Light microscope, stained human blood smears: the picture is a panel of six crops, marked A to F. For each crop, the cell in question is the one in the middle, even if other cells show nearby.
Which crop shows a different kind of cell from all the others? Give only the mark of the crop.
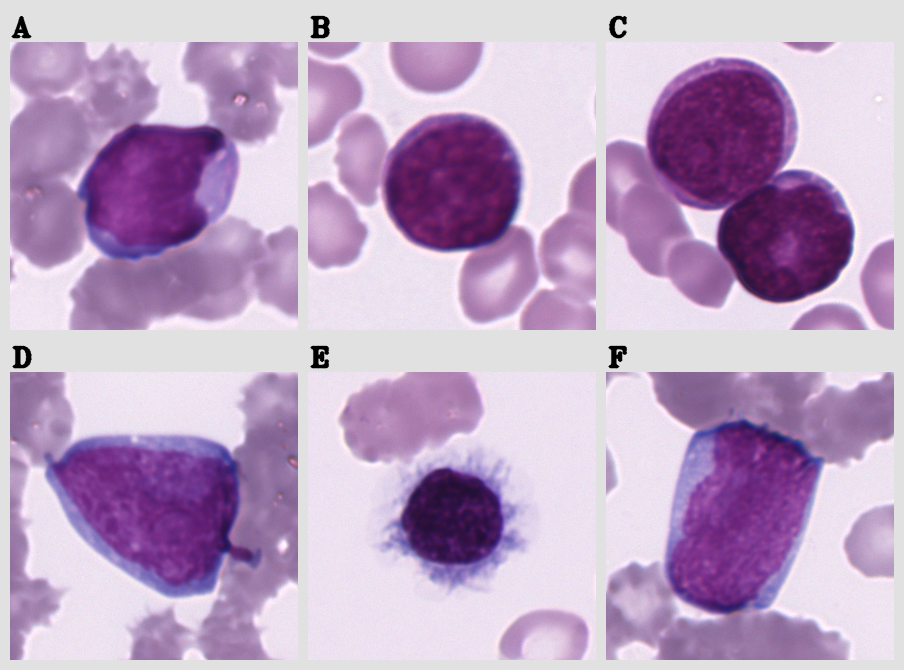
E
